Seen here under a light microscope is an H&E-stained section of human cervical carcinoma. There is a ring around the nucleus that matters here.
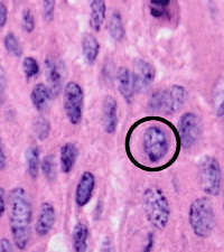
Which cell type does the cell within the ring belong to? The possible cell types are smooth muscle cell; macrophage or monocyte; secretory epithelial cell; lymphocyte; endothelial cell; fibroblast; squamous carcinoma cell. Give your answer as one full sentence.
As far as its identity is concerned, the cell within the ring is a squamous carcinoma cell.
